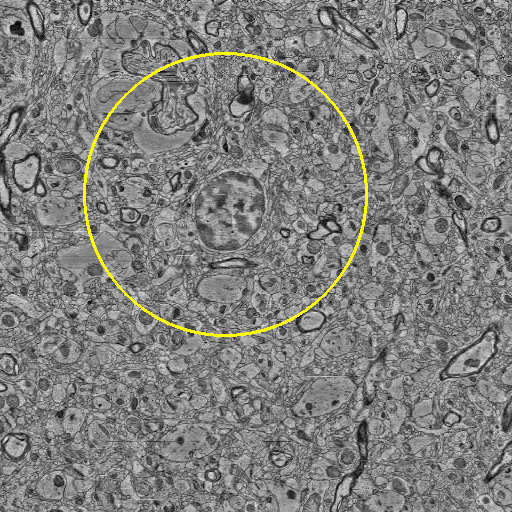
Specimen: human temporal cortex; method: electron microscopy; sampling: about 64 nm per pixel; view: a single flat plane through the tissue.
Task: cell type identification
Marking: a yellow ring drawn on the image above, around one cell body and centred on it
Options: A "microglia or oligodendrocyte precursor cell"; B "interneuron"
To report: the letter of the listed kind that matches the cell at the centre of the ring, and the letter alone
A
